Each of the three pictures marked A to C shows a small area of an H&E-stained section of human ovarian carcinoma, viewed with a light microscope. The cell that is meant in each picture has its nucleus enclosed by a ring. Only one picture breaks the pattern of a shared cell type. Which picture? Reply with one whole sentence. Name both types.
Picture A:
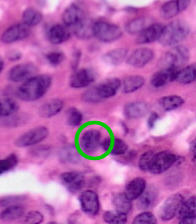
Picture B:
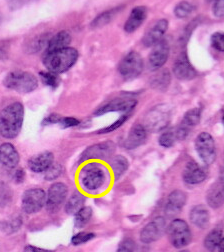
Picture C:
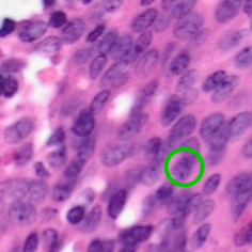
Picture B differs, because its cell is a “macrophage or monocyte” and the rest are carcinoma cells.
